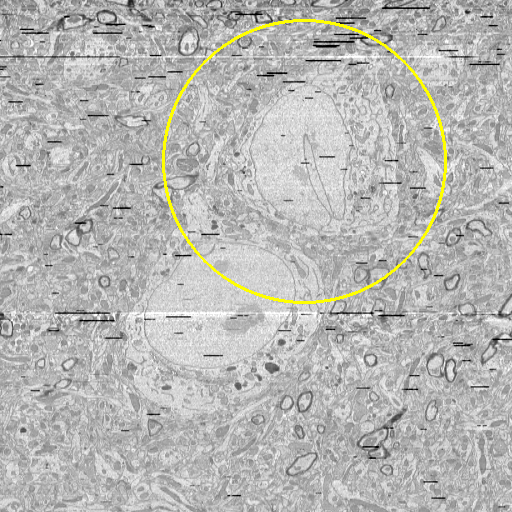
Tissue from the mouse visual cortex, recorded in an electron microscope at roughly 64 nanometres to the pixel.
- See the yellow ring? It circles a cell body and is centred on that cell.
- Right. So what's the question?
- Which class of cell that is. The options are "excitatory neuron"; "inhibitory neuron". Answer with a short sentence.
The centre of the ring holds an inhibitory neuron.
